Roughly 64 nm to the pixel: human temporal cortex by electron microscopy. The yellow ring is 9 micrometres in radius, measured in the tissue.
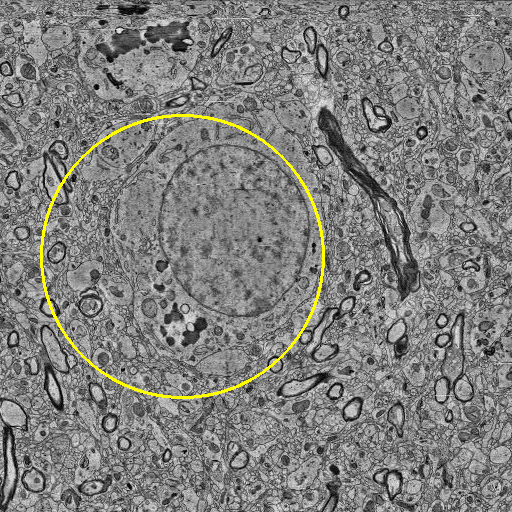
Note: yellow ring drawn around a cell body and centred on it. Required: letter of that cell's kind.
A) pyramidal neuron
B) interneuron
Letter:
B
